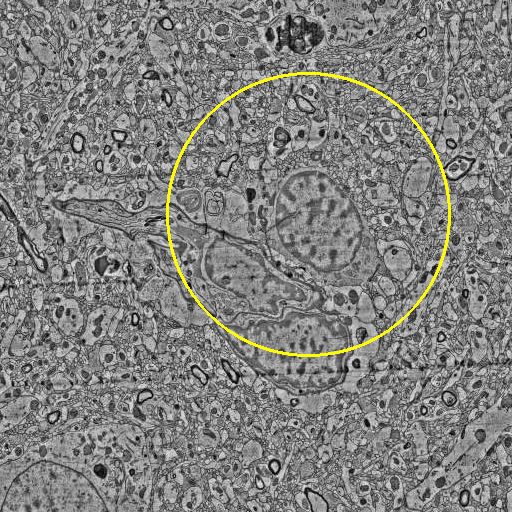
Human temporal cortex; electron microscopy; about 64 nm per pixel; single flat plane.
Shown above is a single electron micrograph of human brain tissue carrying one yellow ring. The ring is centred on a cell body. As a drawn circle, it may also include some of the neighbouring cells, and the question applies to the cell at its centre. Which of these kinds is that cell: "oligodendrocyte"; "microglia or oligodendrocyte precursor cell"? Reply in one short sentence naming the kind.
The cell marked by the ring is an oligodendrocyte.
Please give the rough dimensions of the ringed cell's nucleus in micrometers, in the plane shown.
The nucleus appears roughly 7 by 5 micrometres in this plane.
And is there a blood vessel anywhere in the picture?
Yes, the image shows a blood vessel.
